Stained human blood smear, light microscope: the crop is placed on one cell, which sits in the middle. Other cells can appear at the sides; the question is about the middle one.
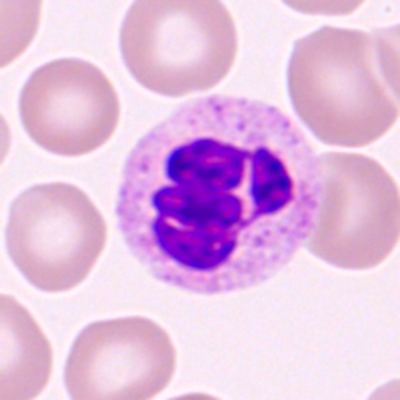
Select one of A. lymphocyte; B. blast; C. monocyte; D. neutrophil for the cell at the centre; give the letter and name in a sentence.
The central cell in this crop is a neutrophil, so the correct choice is option D.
